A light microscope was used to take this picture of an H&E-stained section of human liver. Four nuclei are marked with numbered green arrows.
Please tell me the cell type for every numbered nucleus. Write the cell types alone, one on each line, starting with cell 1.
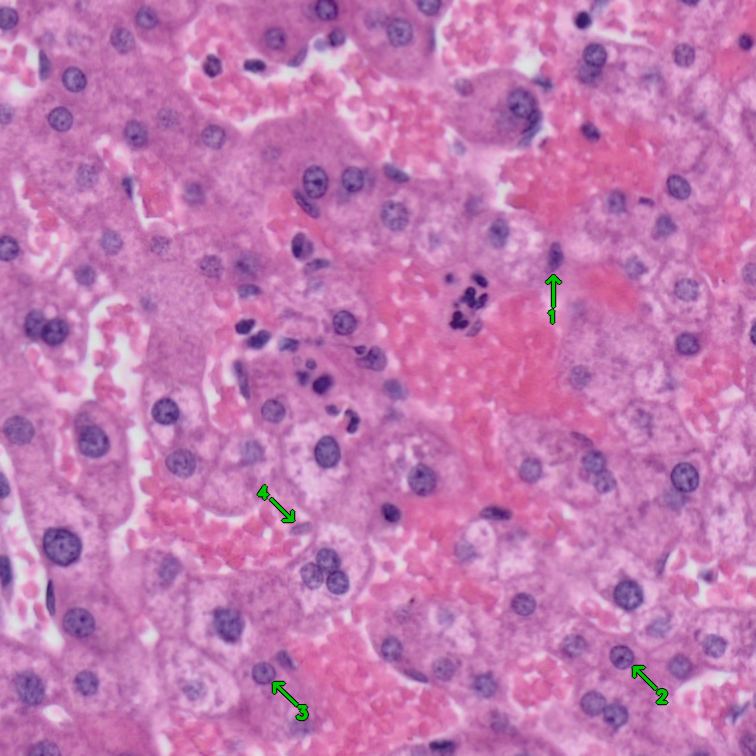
fibroblast or stellate cell
hepatocyte
hepatocyte
Kupffer cell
